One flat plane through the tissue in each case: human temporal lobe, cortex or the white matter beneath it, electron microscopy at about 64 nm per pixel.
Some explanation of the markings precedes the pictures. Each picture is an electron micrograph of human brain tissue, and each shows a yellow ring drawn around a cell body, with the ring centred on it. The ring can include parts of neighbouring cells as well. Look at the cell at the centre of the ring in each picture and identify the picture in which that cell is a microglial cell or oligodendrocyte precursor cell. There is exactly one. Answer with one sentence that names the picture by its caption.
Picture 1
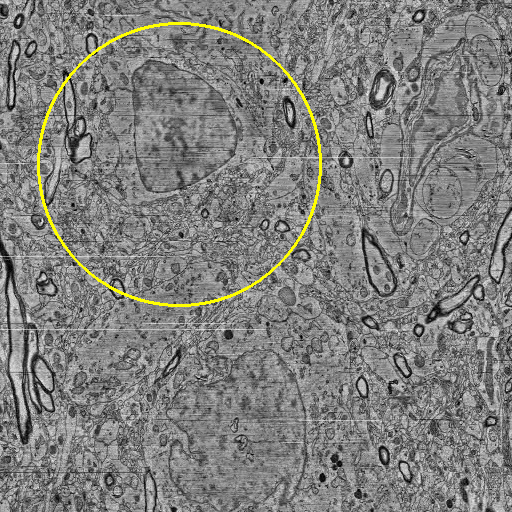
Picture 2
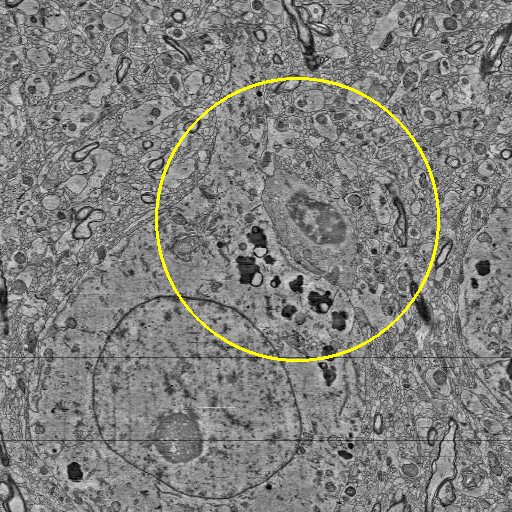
In Picture 1, the cell at the centre of the ring is of that kind.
